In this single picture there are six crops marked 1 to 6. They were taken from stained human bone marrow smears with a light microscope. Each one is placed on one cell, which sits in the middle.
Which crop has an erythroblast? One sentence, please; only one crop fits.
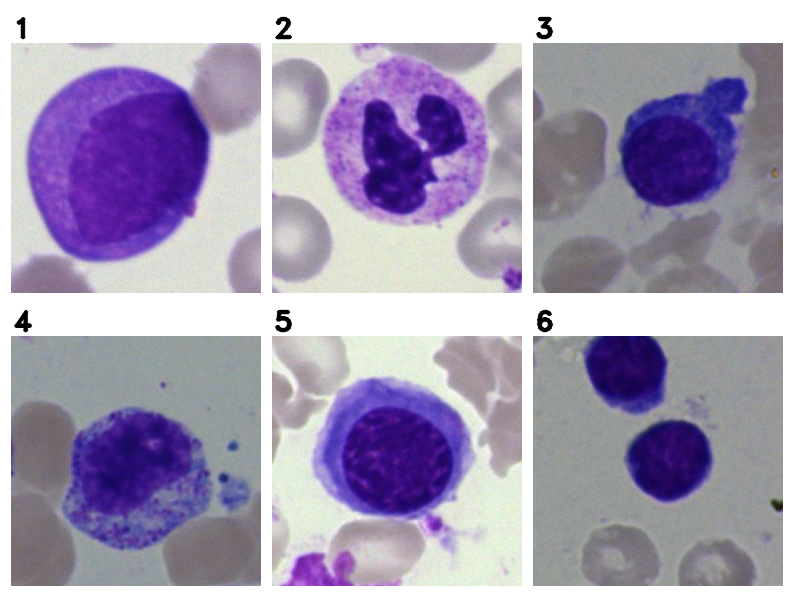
Of the labeled crops, the one with an erythroblast is crop 5.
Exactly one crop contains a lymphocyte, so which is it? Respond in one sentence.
So the crop with a lymphocyte at its center is crop 6.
